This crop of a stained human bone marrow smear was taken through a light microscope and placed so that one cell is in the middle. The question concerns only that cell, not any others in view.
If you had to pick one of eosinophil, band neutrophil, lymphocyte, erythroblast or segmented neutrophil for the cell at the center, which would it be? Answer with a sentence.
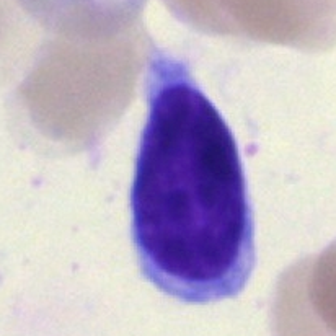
The target cell in the middle of the crop is a lymphocyte.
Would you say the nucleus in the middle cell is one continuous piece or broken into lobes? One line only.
The nucleus is one compact mass, round, oval or kidney-shaped in outline.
